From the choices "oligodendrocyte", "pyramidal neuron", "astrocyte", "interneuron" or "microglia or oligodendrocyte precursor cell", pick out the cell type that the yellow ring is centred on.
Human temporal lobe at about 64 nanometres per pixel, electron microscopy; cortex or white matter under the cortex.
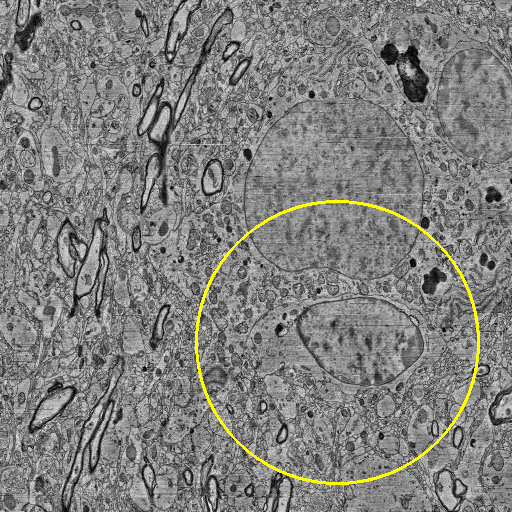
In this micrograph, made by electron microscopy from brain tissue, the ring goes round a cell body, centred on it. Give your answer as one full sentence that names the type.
The yellow ring is centred on a microglial cell or oligodendrocyte precursor cell, whose cell body it encircles in the picture.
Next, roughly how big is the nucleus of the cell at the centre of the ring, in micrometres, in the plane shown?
The nucleus appears roughly 8 by 6 micrometres in this plane.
